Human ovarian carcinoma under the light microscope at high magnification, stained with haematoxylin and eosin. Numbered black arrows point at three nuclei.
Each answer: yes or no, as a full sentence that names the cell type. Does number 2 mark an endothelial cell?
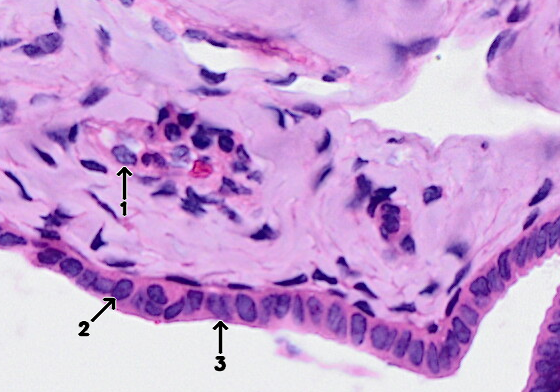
No, the cell under number 2 is a carcinoma cell, not an endothelial cell.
